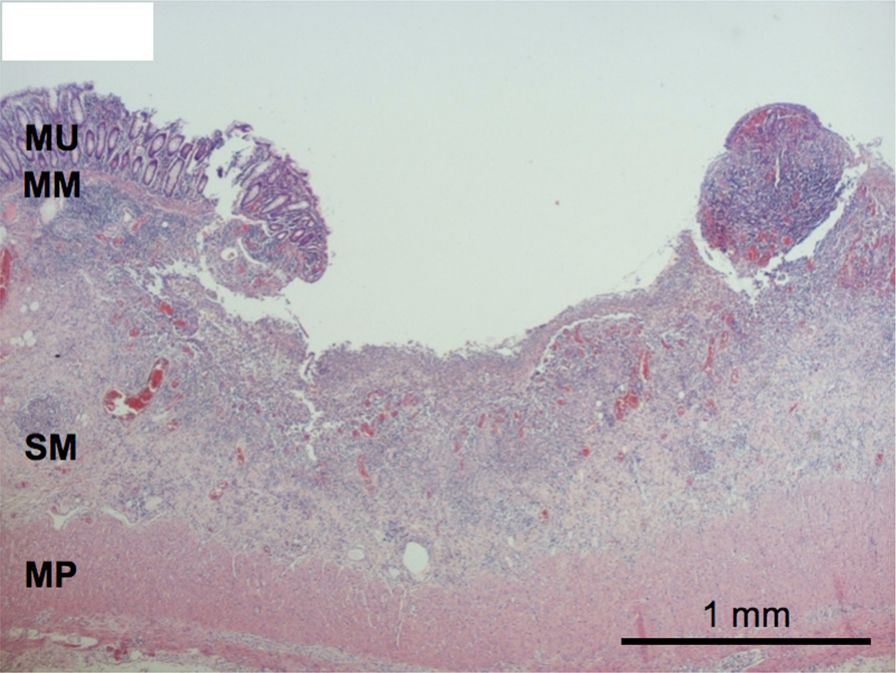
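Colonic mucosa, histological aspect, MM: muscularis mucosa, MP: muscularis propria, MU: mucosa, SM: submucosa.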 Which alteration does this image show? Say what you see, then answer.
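A broad crater-like defect interrupts the surface of the wall. Crypts and surface lining are missing across the defect. The base of the defect is densely cellular tissue with many congested, blood-filled vessels. That points to this answer: ulcer.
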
